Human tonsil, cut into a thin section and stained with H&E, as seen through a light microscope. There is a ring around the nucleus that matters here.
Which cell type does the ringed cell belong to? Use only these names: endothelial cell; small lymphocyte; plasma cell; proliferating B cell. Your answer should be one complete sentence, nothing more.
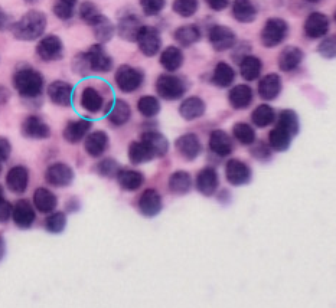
So far as cell type goes, the ringed cell is a small lymphocyte.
